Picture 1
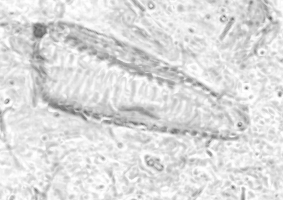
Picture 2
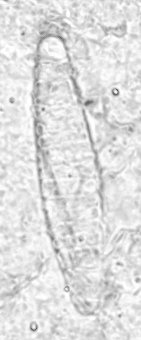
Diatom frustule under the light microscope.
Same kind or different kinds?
Different: the first is Gomphonella, the second Diatoma.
